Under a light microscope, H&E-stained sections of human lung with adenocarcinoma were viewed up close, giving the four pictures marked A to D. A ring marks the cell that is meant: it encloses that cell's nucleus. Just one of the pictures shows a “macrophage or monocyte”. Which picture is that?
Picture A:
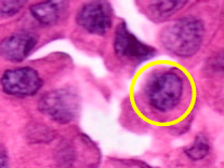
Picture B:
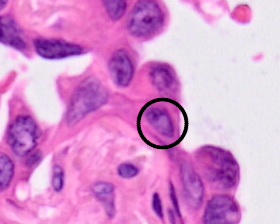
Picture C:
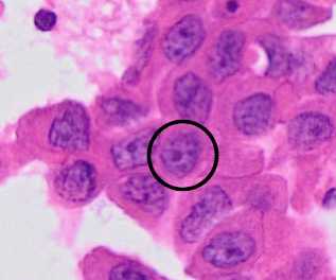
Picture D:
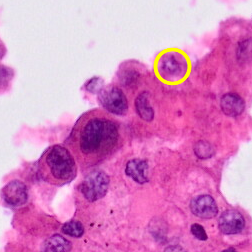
D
